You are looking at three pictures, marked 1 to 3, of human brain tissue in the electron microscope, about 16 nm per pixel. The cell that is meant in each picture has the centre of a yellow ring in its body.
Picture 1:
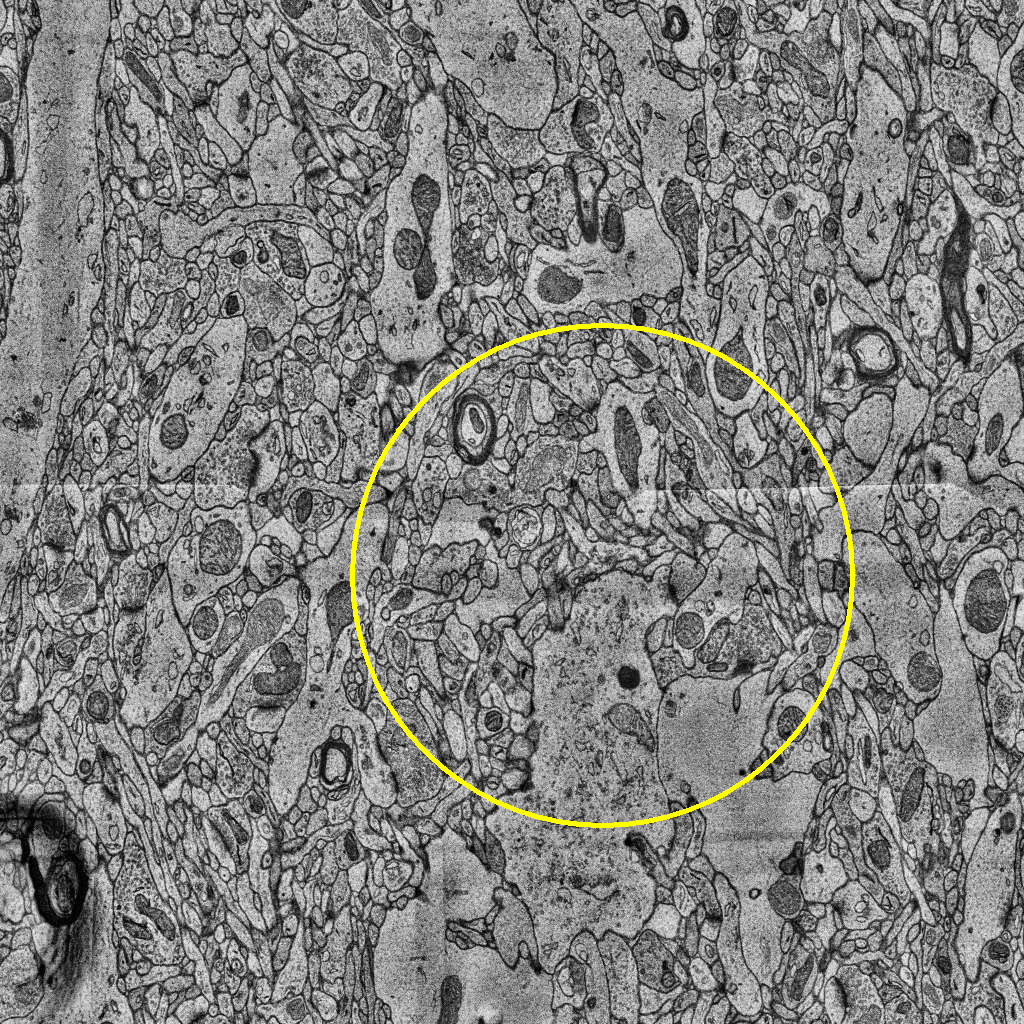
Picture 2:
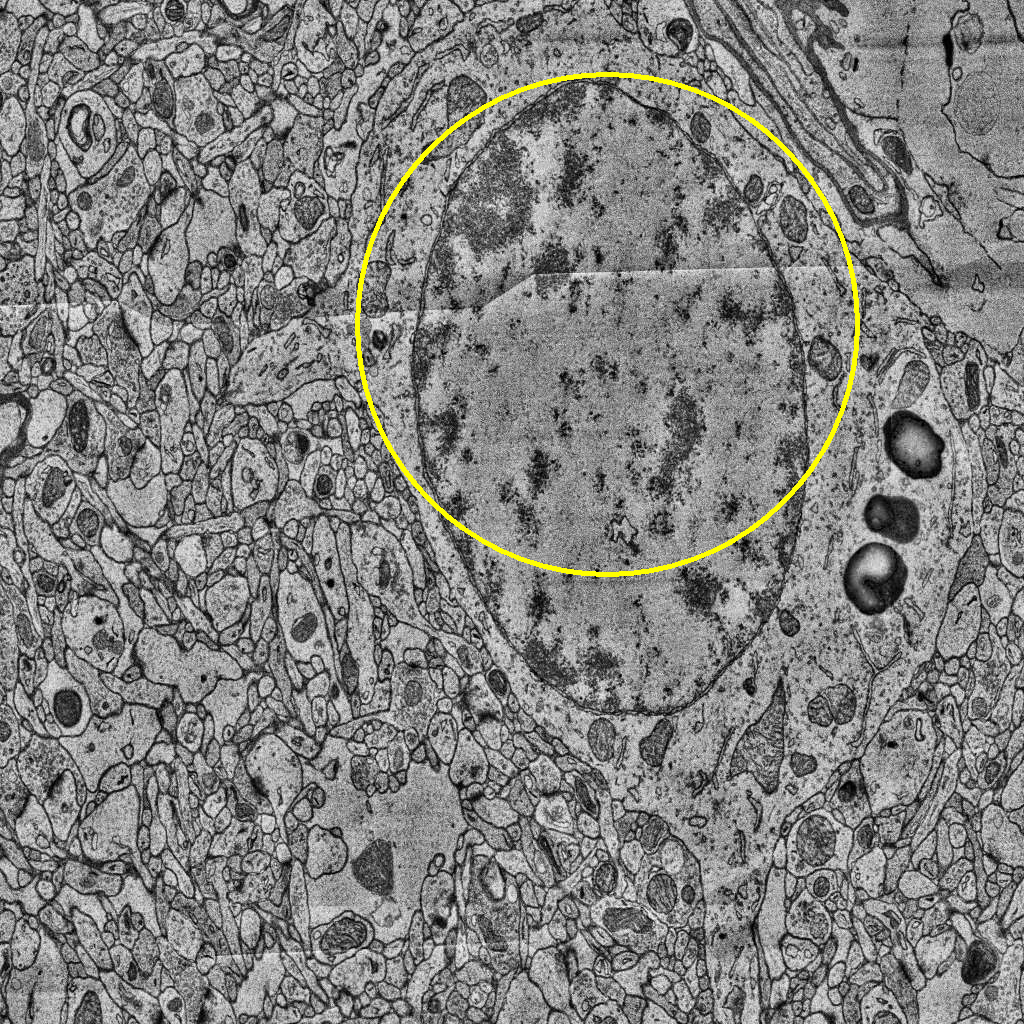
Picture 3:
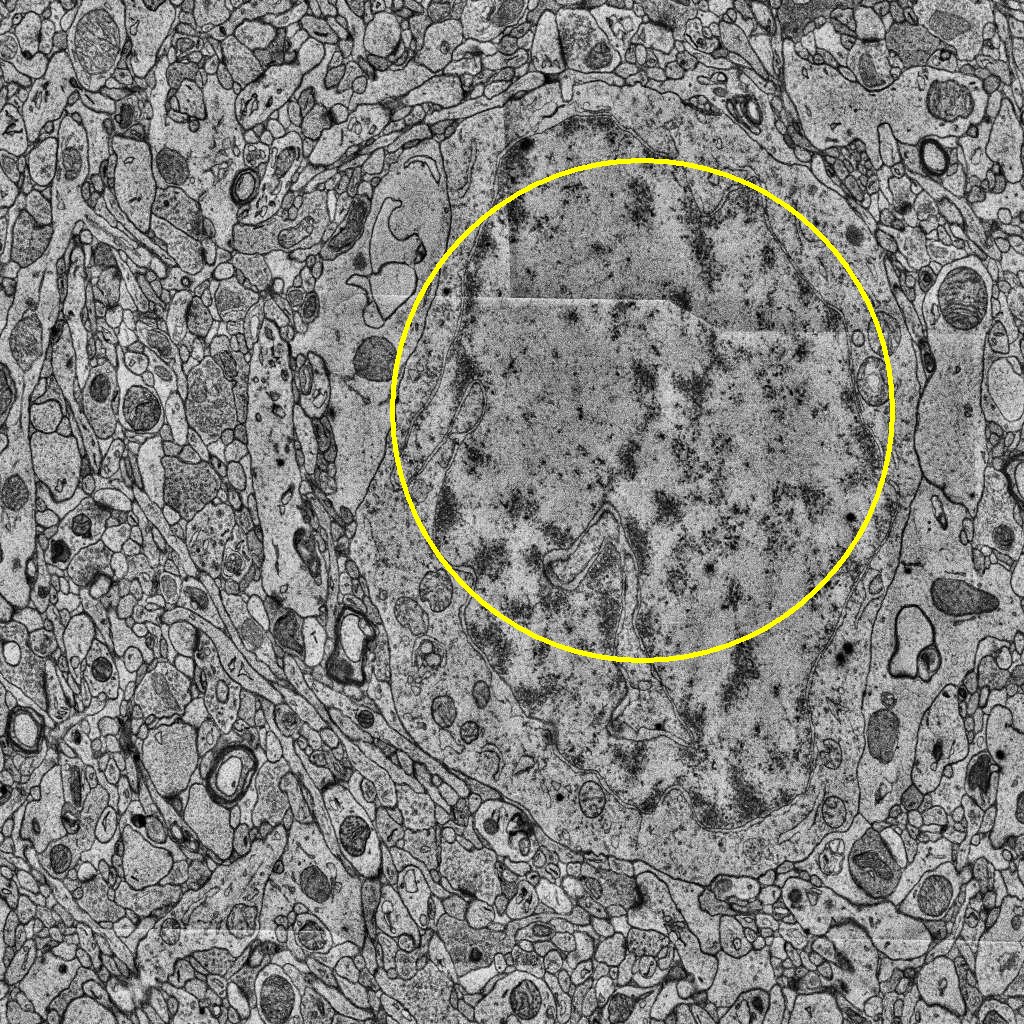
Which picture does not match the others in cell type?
Unlike the rest, which show interneurons, picture 2 shows a pyramidal neuron.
